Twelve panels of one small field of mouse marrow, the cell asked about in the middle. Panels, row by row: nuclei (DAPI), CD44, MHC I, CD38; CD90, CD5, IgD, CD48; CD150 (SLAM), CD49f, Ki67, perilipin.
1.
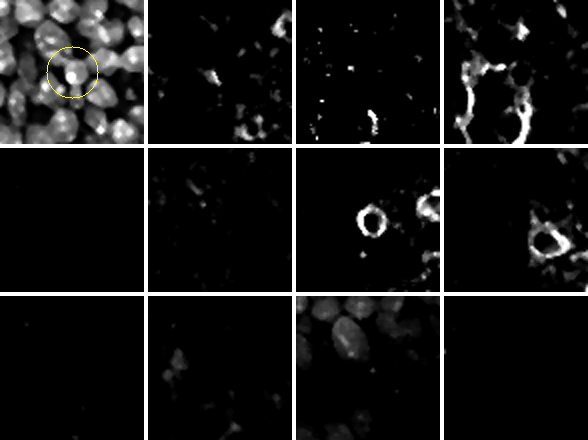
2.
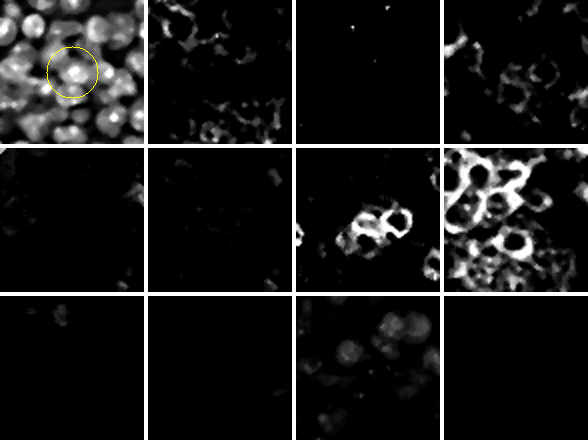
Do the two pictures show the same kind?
Yes, both are B cells.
